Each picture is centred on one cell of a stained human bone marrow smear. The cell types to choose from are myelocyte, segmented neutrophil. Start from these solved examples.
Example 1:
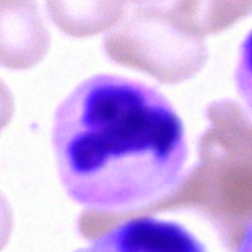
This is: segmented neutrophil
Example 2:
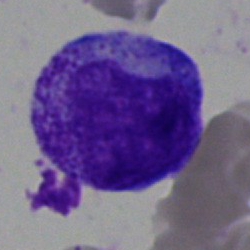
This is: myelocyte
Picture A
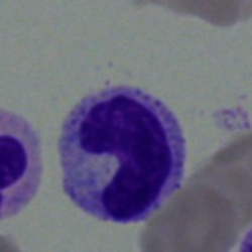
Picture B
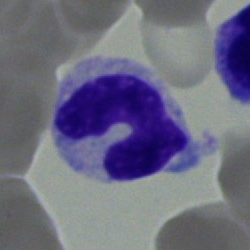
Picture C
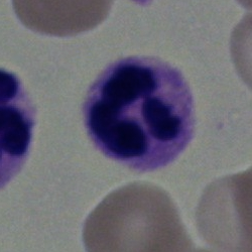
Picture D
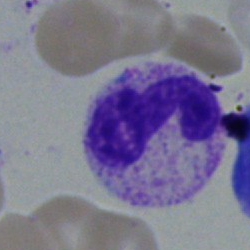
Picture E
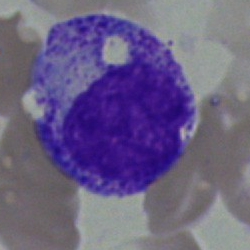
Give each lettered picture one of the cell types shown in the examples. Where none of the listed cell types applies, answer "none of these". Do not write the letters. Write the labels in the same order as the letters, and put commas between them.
none of these, none of these, segmented neutrophil, none of these, myelocyte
